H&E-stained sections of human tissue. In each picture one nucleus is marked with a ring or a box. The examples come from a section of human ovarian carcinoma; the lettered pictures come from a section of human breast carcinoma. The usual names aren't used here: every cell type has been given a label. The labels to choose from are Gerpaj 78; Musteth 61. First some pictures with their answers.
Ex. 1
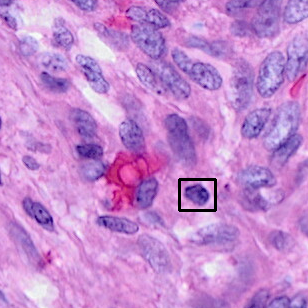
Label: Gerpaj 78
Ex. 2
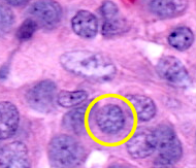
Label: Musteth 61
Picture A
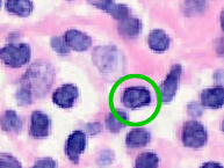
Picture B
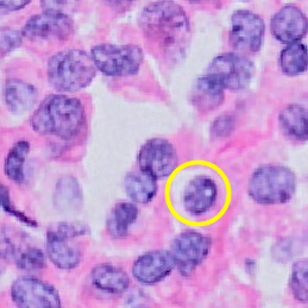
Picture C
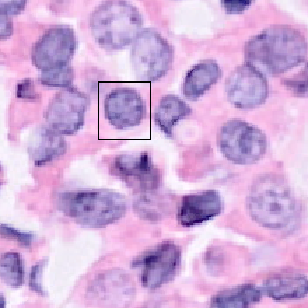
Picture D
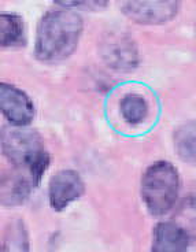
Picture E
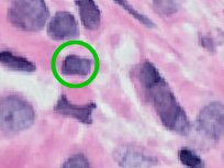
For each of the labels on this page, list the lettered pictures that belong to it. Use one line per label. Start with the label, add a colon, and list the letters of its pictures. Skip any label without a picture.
Gerpaj 78: A, D, E
Musteth 61: B, C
